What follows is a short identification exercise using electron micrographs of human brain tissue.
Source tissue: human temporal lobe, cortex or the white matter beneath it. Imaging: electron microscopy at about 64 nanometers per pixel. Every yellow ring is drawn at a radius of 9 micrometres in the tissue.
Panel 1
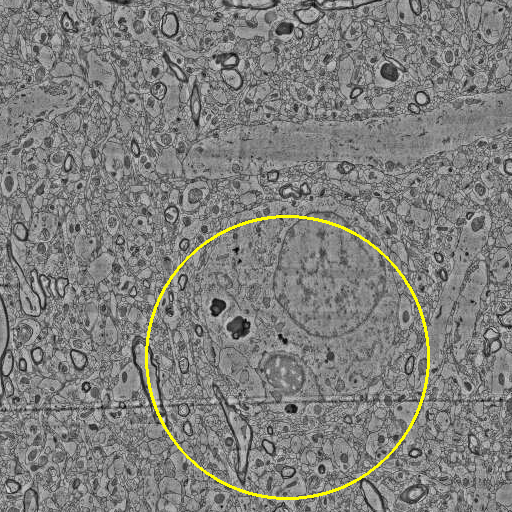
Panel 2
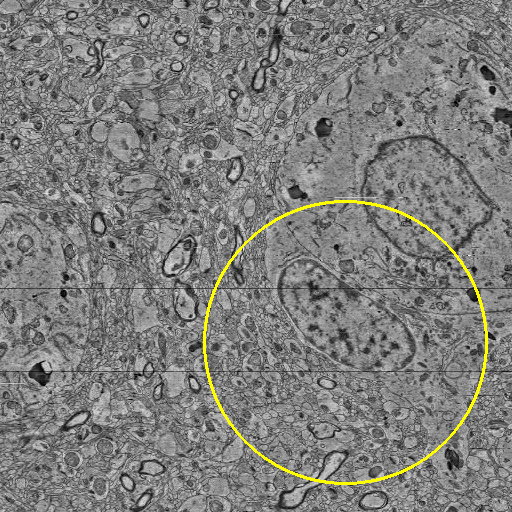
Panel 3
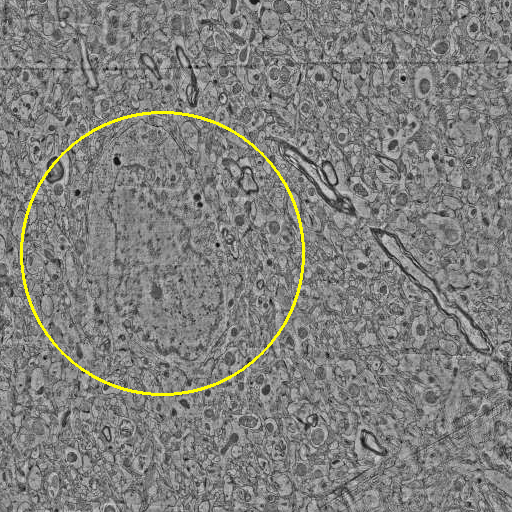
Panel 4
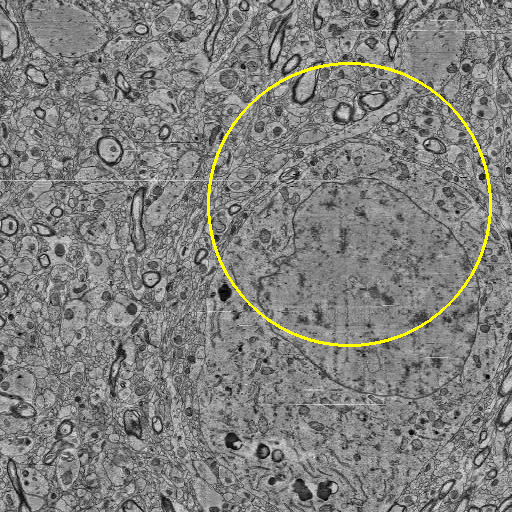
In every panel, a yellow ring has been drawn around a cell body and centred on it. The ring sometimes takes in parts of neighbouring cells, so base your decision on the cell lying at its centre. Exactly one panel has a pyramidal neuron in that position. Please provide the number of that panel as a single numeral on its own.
4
